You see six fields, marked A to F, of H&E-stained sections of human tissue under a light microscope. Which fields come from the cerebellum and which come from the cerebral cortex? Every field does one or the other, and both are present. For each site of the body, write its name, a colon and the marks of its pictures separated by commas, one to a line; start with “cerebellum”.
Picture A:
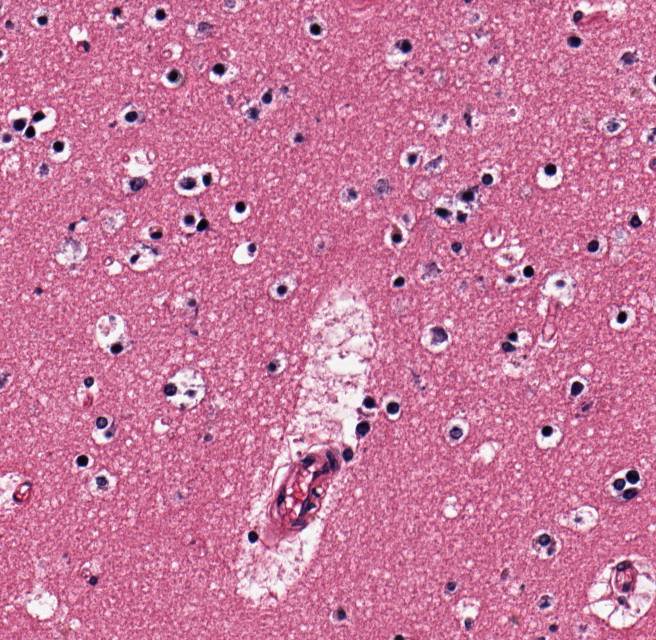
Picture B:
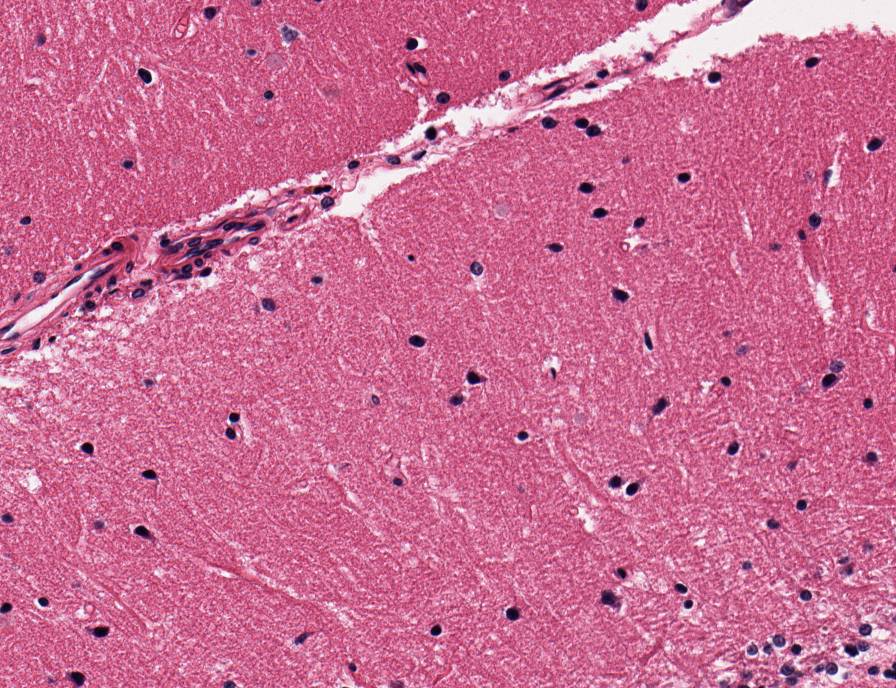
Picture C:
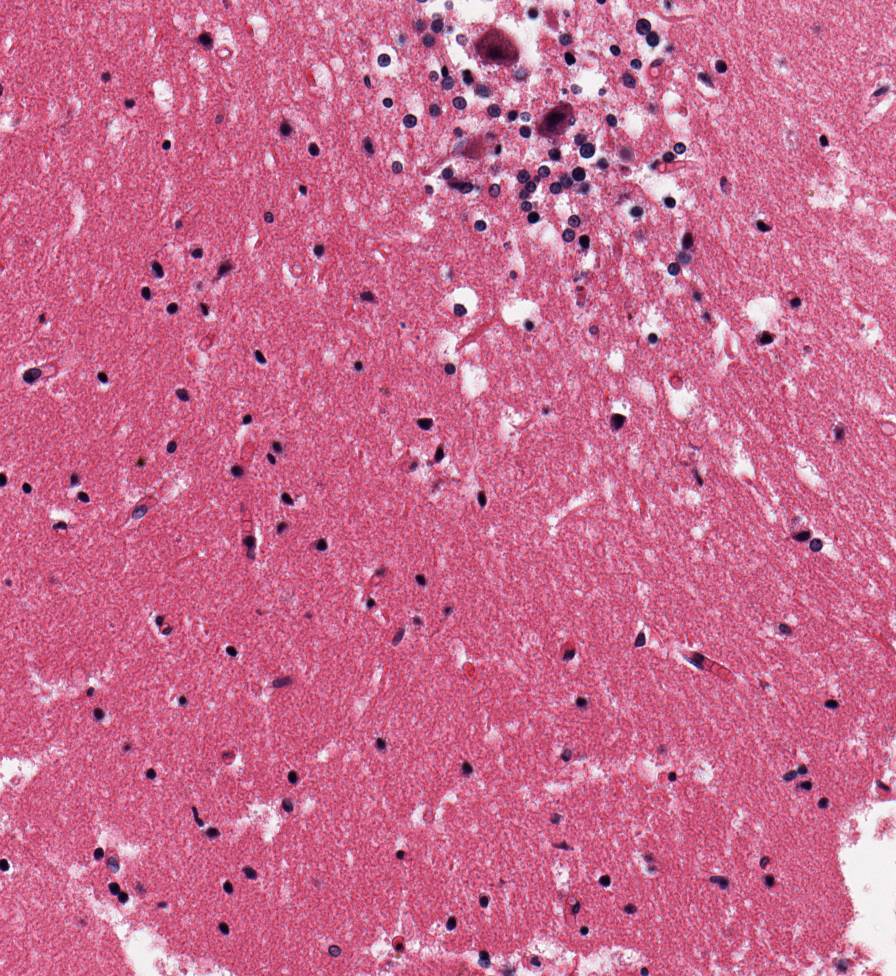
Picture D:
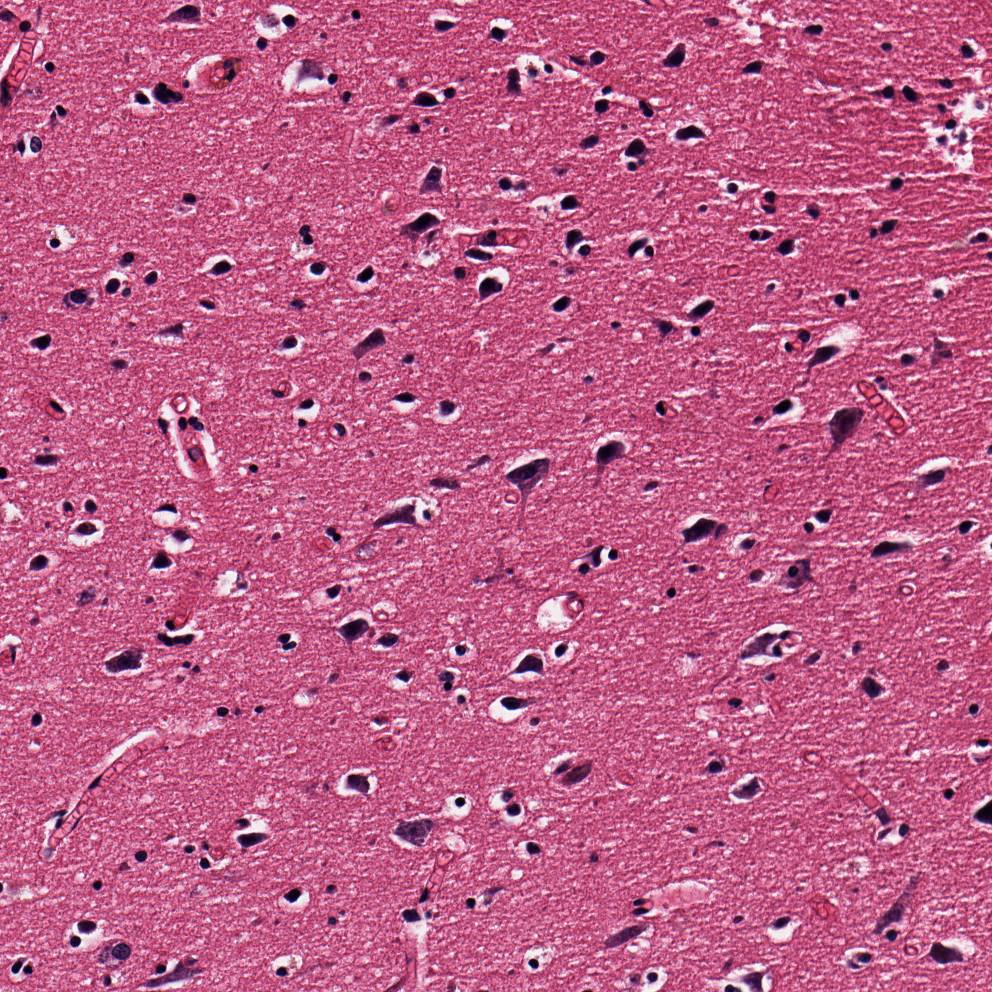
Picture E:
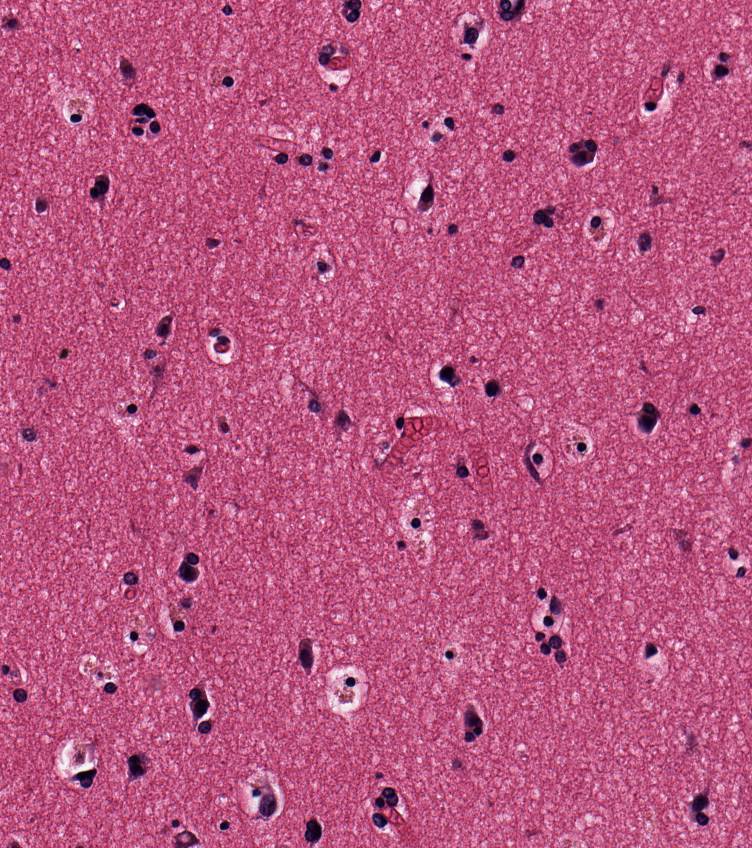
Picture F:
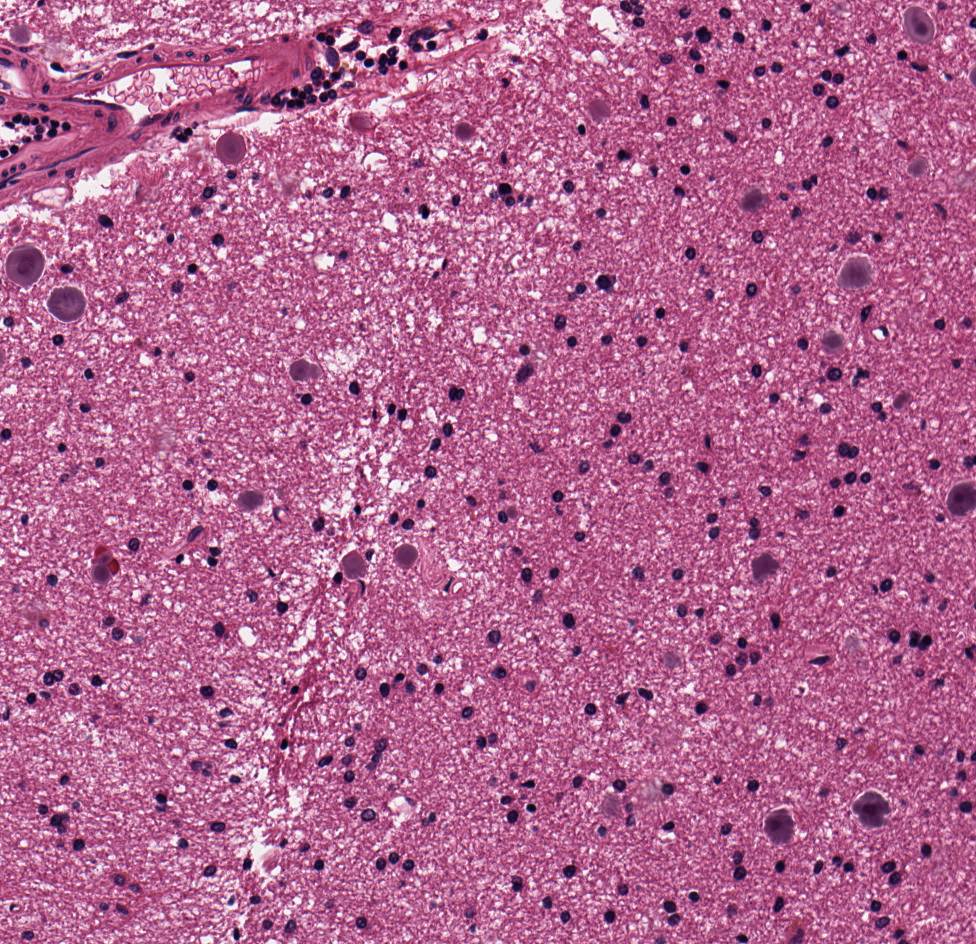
cerebellum: B, C
cerebral cortex: A, D, E, F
